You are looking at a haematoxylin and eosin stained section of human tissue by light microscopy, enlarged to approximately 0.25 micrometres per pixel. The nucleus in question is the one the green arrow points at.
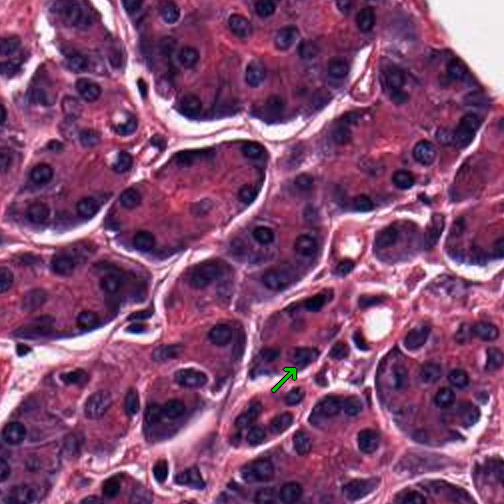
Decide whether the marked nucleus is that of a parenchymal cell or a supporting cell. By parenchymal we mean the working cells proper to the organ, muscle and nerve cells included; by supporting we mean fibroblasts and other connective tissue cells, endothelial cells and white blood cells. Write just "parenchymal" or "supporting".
parenchymal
